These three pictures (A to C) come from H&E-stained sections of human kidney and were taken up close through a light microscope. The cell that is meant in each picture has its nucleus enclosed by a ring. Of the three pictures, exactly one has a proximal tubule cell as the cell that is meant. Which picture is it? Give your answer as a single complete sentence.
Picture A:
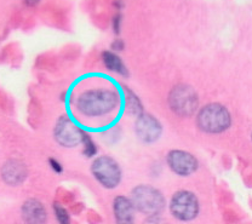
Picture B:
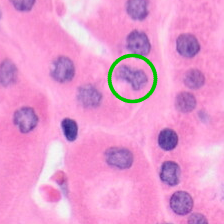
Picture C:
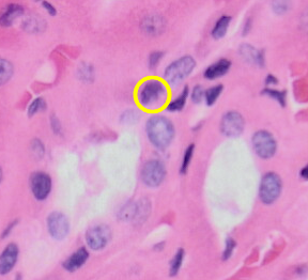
It is picture B that shows the proximal tubule cell.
